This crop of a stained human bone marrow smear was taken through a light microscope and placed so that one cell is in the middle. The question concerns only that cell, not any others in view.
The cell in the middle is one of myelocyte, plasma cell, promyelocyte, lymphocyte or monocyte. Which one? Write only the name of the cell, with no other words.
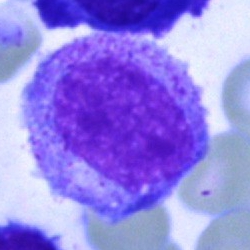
promyelocyte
